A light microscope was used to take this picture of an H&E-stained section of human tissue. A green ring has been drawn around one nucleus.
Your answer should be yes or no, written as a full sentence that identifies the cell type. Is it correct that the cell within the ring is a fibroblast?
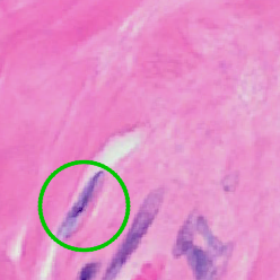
Yes, in this section the cell within the ring is a fibroblast.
